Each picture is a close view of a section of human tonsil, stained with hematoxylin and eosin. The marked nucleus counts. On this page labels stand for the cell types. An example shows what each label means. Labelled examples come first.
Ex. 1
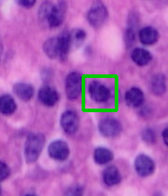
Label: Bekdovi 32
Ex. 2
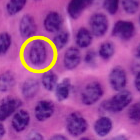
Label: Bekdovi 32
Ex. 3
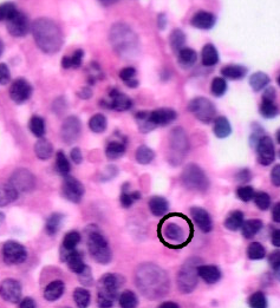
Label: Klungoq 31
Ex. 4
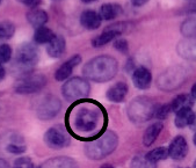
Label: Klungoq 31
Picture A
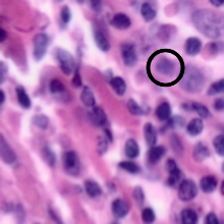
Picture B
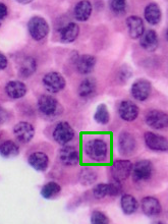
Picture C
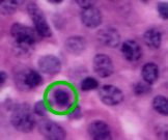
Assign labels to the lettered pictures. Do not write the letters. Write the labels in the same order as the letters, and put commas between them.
Klungoq 31, Bekdovi 32, Bekdovi 32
